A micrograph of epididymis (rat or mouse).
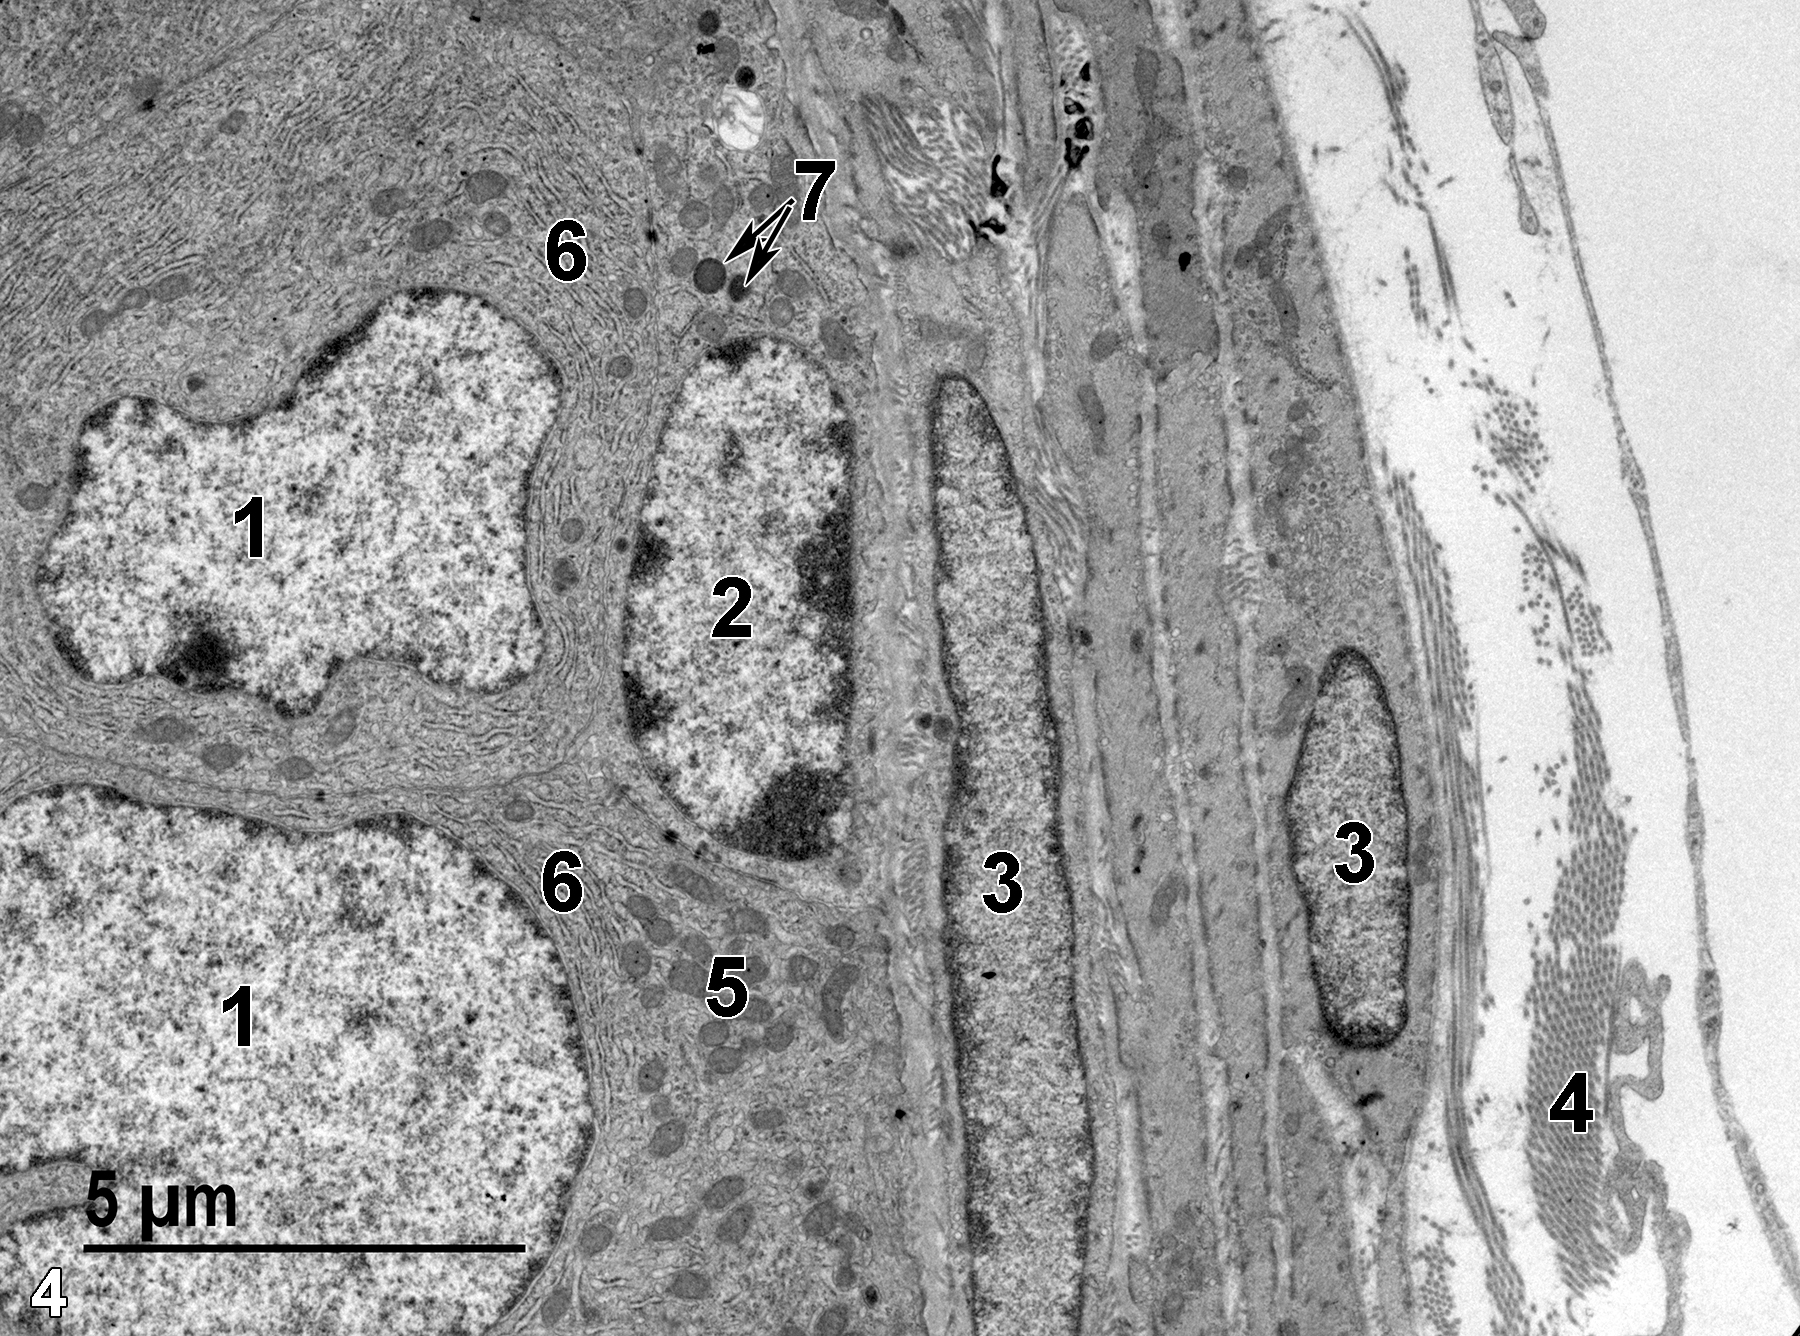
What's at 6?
Rough endoplasmic reticulum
